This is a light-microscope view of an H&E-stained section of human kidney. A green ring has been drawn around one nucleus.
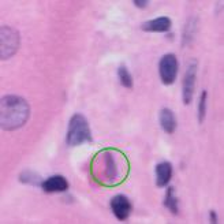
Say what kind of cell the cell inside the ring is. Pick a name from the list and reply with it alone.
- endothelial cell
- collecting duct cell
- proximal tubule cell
endothelial cell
